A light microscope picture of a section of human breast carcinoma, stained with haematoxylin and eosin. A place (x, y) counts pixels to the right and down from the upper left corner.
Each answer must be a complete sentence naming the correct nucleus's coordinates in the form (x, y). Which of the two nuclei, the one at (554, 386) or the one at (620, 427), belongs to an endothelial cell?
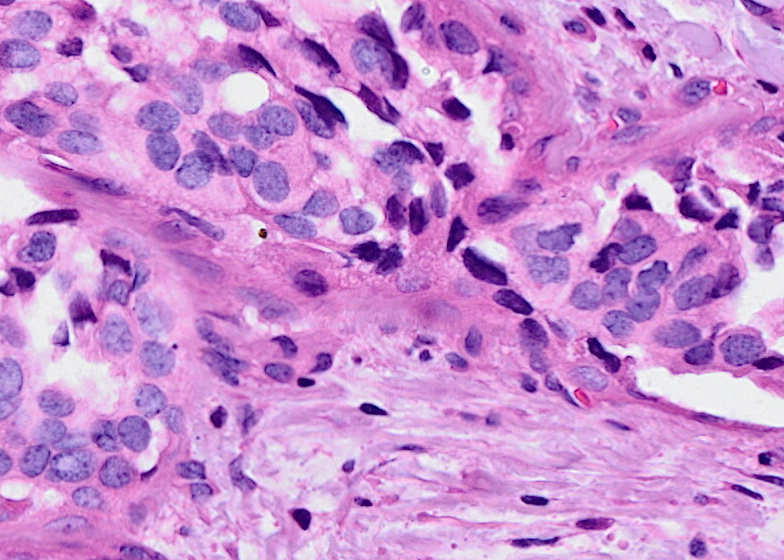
The nucleus whose position is (554, 386) belongs to an endothelial cell.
